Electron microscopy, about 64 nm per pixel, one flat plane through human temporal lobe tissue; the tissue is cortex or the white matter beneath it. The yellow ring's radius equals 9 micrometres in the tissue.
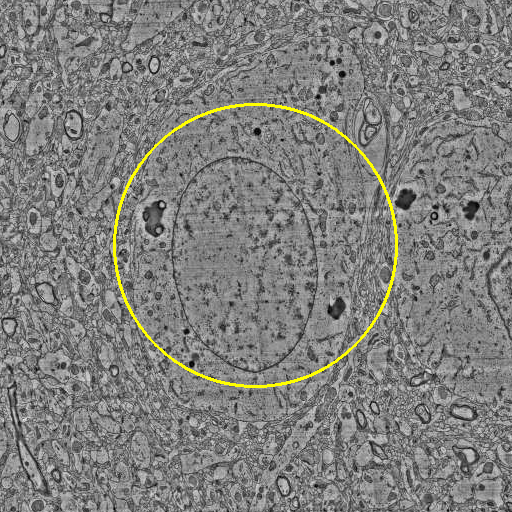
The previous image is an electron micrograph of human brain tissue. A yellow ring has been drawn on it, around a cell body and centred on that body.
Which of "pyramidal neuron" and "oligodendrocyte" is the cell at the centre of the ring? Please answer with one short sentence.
The cell body at the centre of the ring belongs to a pyramidal neuron.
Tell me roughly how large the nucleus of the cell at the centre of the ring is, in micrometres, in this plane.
In this plane the nucleus measures roughly 14 by 9 micrometres.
